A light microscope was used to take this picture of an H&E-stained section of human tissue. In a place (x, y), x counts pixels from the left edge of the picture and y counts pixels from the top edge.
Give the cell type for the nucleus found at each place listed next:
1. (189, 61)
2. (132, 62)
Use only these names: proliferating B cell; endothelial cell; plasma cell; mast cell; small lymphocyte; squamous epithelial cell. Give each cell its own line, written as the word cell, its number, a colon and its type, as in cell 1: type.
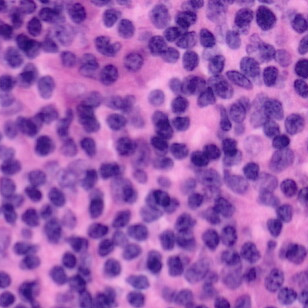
cell 1: small lymphocyte
cell 2: plasma cell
